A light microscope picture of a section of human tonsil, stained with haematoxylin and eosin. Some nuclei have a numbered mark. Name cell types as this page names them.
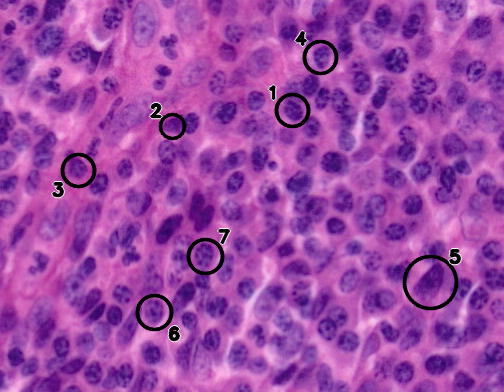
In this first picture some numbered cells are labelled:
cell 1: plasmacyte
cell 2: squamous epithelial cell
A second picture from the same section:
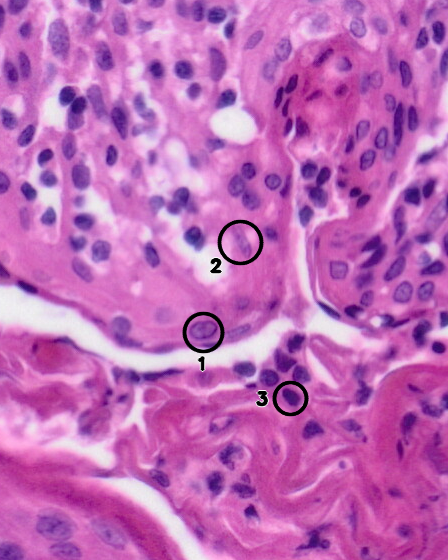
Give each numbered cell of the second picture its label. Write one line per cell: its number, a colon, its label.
1: squamous epithelial cell
2: squamous epithelial cell
3: plasmacyte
